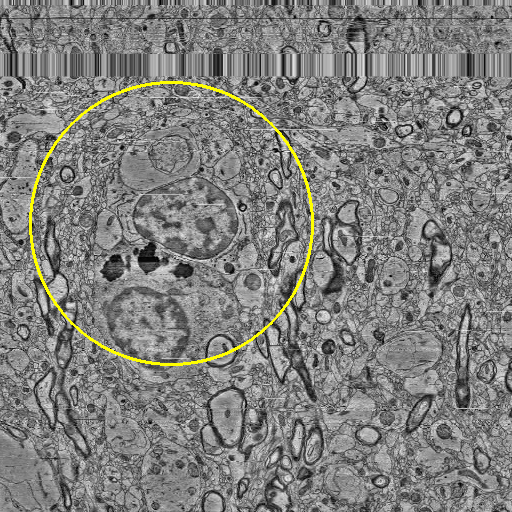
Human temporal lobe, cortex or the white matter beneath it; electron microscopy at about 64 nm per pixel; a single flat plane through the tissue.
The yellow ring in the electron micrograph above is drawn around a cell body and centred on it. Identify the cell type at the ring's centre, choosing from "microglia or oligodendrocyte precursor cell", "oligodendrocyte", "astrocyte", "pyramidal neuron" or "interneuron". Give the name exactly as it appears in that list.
microglia or oligodendrocyte precursor cell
